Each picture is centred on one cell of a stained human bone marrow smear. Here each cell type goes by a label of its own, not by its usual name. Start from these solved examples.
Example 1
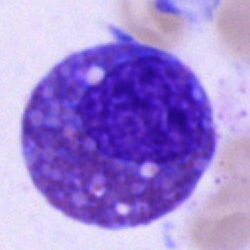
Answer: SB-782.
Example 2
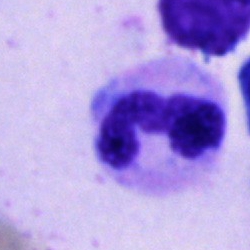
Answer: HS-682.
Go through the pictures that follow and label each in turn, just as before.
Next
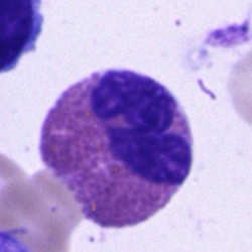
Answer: SB-782.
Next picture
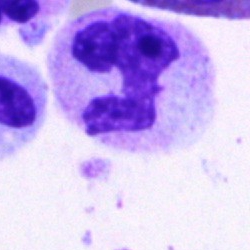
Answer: HS-682.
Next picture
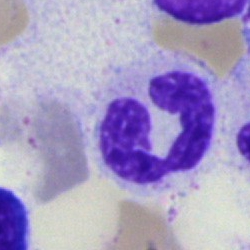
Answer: HS-682.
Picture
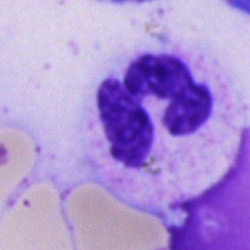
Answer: HS-682.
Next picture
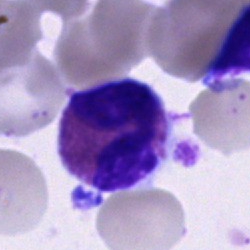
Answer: SB-782.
